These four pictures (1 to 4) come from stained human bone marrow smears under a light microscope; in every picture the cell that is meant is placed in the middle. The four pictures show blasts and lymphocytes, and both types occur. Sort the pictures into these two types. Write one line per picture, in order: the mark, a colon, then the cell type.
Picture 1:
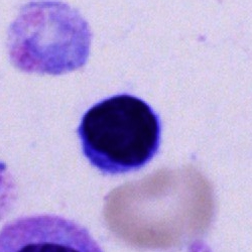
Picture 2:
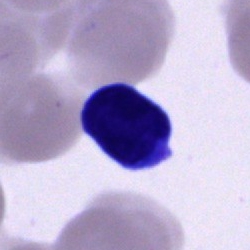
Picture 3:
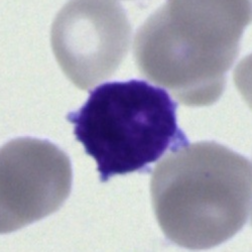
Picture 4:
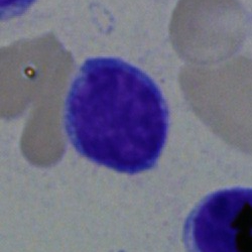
1: lymphocyte
2: lymphocyte
3: blast
4: lymphocyte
